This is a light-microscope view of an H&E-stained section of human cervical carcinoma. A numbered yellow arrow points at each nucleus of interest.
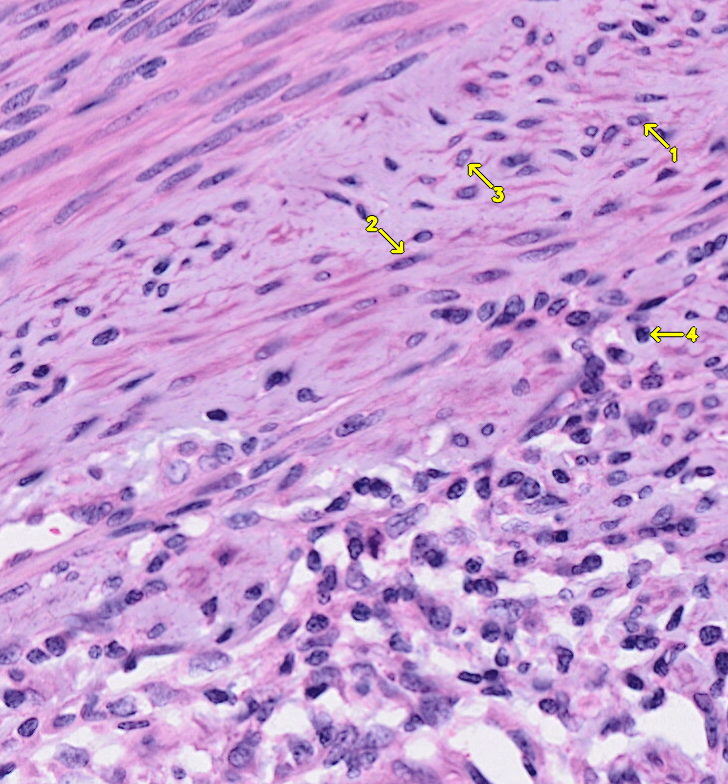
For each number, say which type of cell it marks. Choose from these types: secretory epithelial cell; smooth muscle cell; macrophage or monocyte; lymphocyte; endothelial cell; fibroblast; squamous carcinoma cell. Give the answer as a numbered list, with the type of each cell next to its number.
1. smooth muscle cell
2. smooth muscle cell
3. smooth muscle cell
4. lymphocyte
